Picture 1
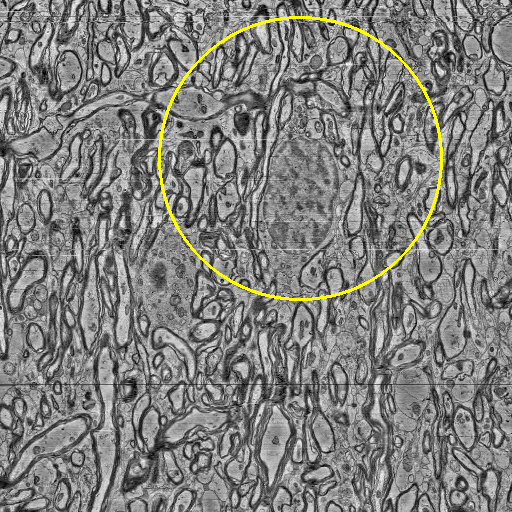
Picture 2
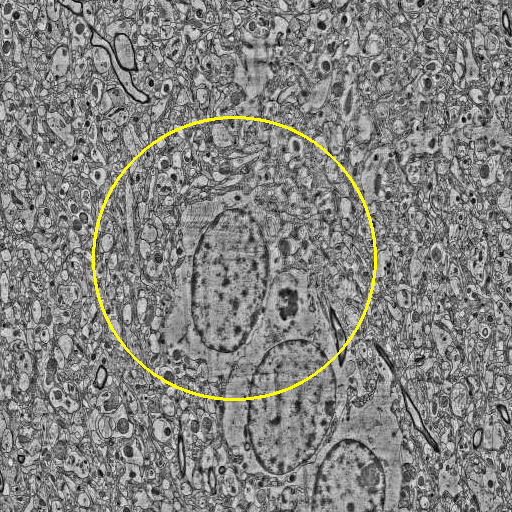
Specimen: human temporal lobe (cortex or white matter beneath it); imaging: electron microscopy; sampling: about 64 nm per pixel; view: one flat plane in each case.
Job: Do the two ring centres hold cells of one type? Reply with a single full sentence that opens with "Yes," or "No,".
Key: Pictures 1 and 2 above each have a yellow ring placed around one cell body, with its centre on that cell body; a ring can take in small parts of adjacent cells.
No, the cells at the two ring centres are of two separate types.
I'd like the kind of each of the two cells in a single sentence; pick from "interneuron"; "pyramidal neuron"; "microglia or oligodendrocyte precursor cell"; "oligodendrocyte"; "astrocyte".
The first ring marks an oligodendrocyte, and the second ring marks an astrocyte.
